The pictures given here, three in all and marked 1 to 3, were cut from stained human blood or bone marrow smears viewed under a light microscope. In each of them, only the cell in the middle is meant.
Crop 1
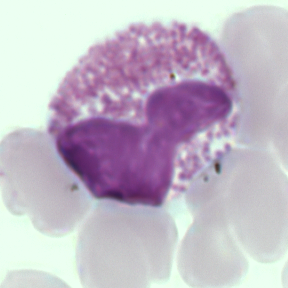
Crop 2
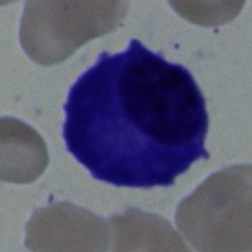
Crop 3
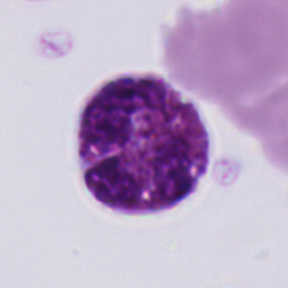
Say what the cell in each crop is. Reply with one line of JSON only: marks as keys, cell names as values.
{"1": "eosinophil", "2": "plasma cell", "3": "eosinophil"}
